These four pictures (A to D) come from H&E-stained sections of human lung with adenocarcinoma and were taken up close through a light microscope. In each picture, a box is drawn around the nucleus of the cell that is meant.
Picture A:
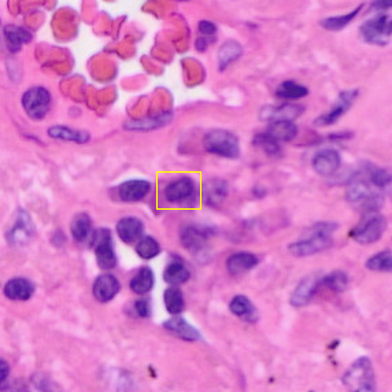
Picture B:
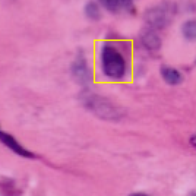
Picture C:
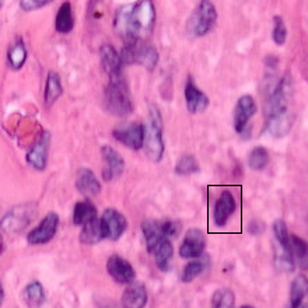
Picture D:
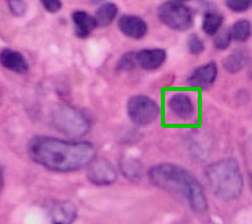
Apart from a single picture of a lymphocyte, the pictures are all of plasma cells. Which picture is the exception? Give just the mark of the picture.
D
